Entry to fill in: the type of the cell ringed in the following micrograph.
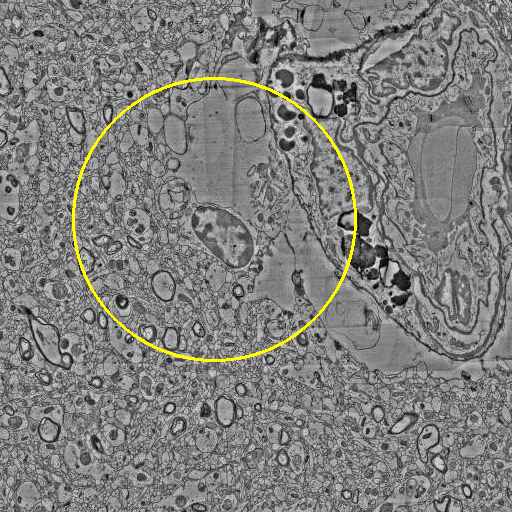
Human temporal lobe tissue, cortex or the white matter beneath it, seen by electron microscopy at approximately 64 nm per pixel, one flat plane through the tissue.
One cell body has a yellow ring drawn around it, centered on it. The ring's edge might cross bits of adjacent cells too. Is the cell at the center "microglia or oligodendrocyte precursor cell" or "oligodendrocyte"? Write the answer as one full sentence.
This entry names a microglial cell or oligodendrocyte precursor cell as the cell whose body lies at the ring's center.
